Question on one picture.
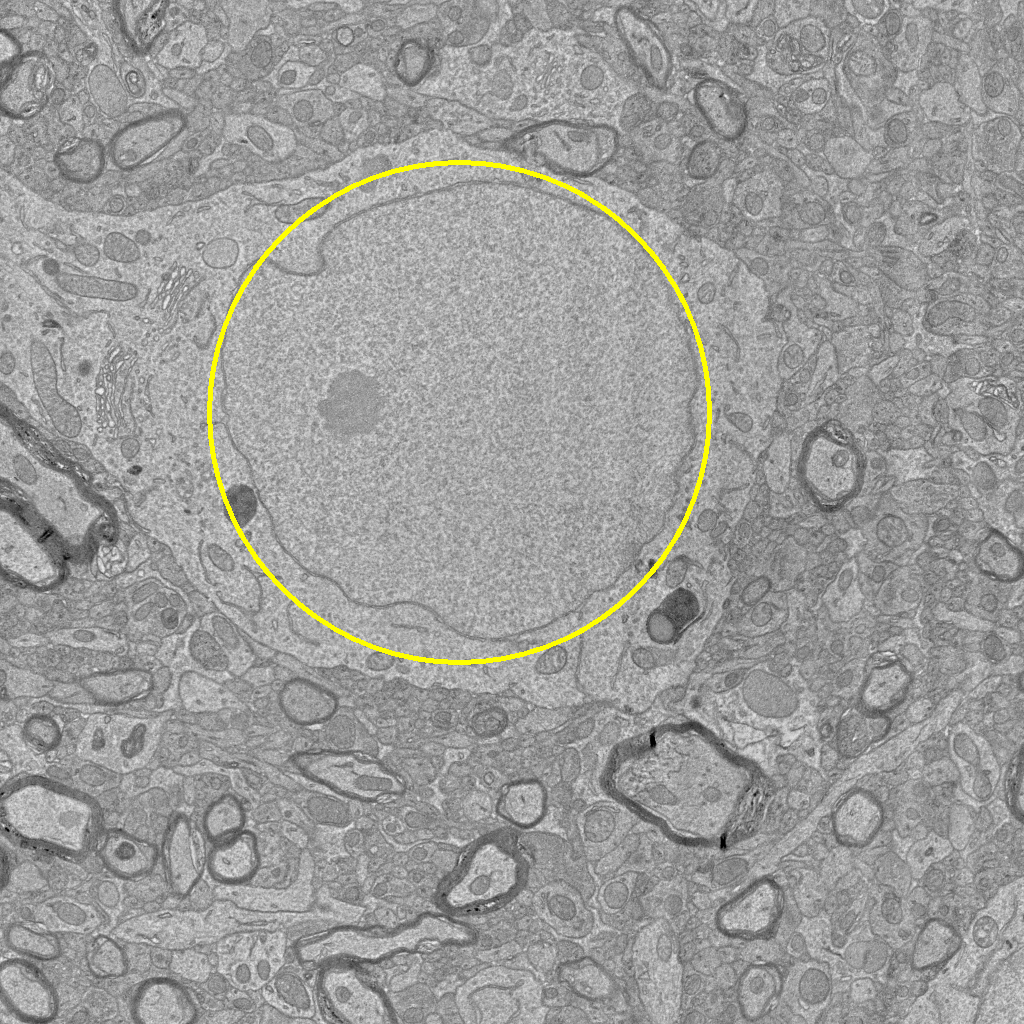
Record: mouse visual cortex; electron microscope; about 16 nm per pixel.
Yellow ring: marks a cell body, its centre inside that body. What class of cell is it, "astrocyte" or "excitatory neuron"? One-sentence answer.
This is an excitatory neuron, the cell at the ring's centre.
